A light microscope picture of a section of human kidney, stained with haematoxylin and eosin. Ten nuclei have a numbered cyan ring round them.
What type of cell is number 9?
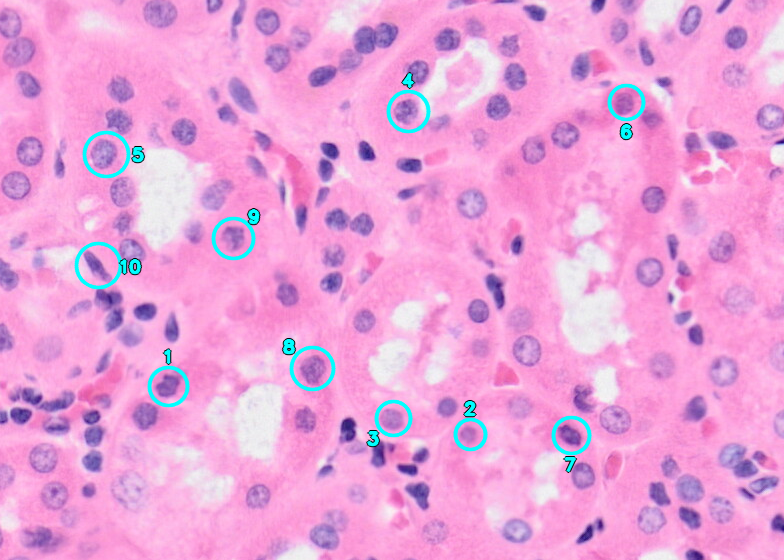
loop of Henle or distal tubule cell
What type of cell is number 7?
proximal tubule cell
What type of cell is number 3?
proximal tubule cell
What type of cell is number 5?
loop of Henle or distal tubule cell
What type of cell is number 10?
endothelial cell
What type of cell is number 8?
proximal tubule cell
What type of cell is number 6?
proximal tubule cell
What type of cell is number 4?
loop of Henle or distal tubule cell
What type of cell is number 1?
proximal tubule cell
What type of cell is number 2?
proximal tubule cell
